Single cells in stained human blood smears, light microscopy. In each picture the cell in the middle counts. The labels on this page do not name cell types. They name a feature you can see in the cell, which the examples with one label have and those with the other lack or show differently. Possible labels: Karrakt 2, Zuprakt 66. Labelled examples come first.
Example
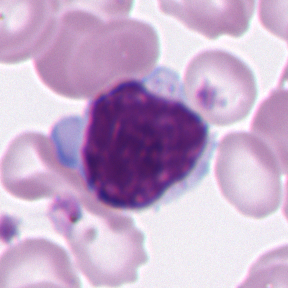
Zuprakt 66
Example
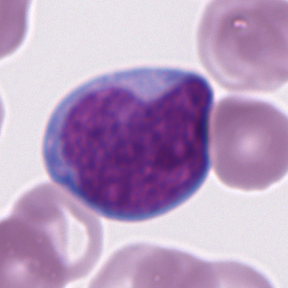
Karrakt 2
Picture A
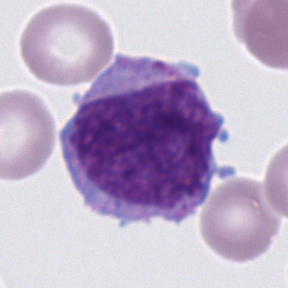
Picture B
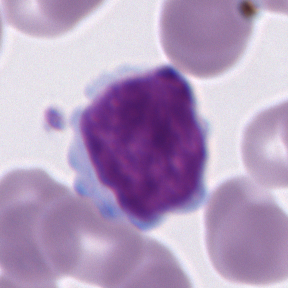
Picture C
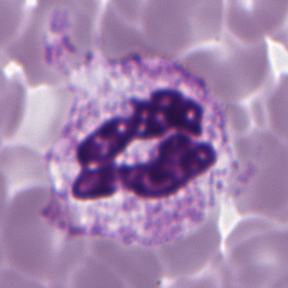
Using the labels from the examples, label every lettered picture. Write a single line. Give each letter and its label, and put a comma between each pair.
A Zuprakt 66, B Zuprakt 66, C Zuprakt 66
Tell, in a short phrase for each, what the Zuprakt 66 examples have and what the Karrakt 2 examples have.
In Zuprakt 66: ragged outline or projections. In Karrakt 2: smooth outline.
